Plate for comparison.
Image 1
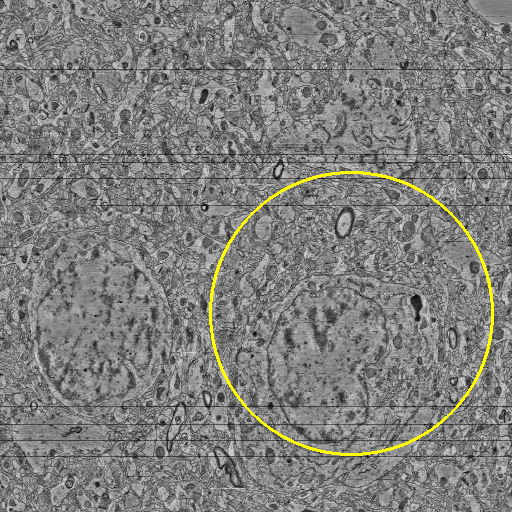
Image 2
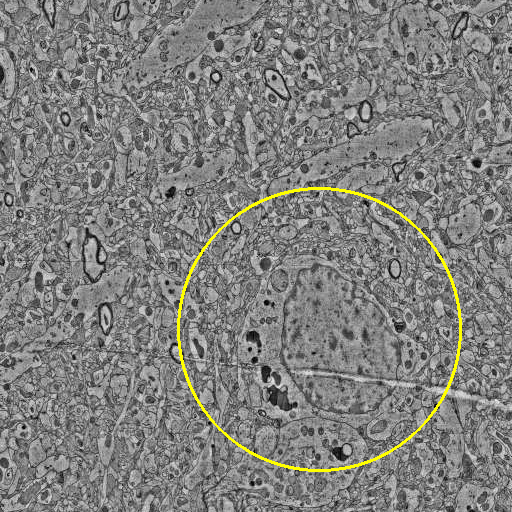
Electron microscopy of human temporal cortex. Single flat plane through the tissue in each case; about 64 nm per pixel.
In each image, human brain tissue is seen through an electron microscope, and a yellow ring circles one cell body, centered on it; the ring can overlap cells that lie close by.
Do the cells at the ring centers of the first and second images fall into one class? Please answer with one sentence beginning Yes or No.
Yes, the first and second images show a single class of cell at the ring centers.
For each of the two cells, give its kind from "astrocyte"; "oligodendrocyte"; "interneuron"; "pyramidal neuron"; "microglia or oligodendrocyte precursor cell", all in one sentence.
Both rings mark an interneuron, one in each picture.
